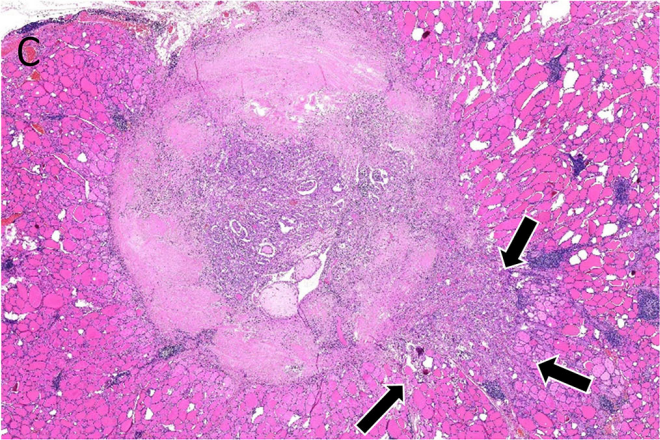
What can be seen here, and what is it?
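A round tumor nodule of densely packed purple cells is surrounded by a wide pale pink fibrous zone, set among colloid-filled follicles. On the lower right the tumor tissue breaks beyond this pale rim and spreads among the neighbouring follicles. Small dark lymphoid clusters are scattered in the surrounding tissue. Encapsulated and infiltrative growth thus coexist in the same lesion.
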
